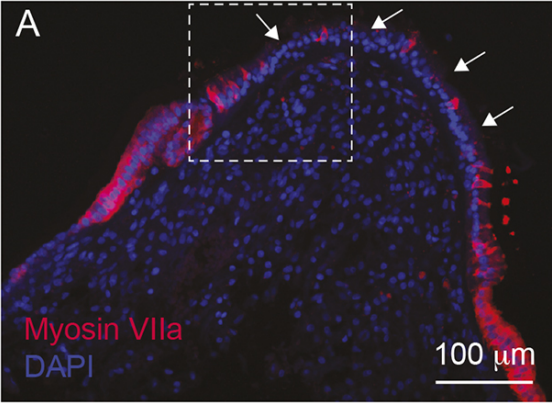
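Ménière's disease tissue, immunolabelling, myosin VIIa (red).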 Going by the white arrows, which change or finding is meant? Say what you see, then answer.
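The arrows point to stretches of the surface epithelium with blue nuclei but no red cells. Red cells appear on either side of these stretches. That points to this answer: large voids in which no hair cells are present.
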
